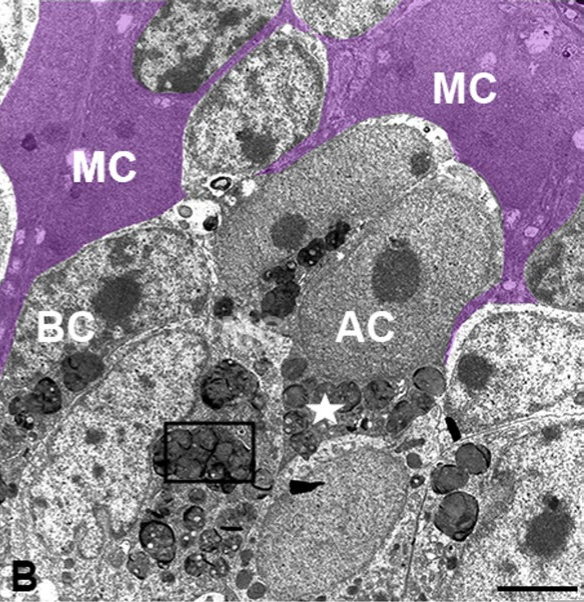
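The neuronal nuclei have finely granular chromatin and some show a dark nucleolus. In the neuronal cytoplasm, clusters of dark rounded inclusions with internal membrane texture gather, most densely near the middle of the field. The Müller cell cytoplasm is smooth and homogeneous, without such inclusions. Neighbouring cell bodies are separated only by thin membranes and the enveloping Müller cell processes.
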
